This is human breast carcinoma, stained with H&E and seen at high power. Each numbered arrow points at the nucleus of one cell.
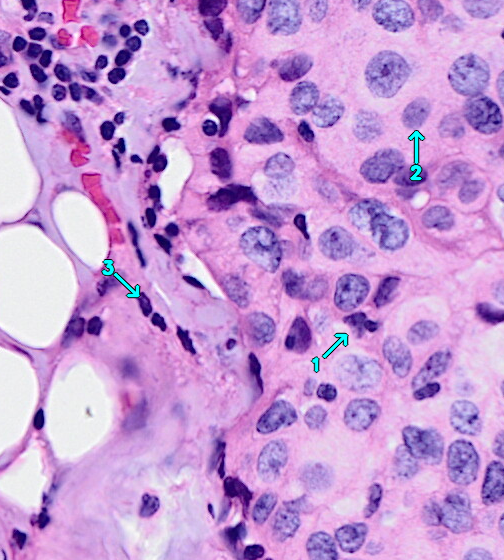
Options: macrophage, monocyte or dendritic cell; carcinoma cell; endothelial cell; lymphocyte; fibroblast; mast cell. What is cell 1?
carcinoma cell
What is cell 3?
lymphocyte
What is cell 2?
carcinoma cell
